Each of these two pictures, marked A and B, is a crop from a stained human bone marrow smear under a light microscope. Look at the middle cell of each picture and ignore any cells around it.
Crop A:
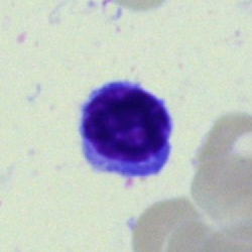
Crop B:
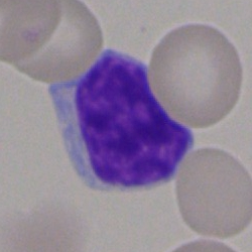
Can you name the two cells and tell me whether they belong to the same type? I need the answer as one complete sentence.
Yes, the crops both have lymphocytes in the middle.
